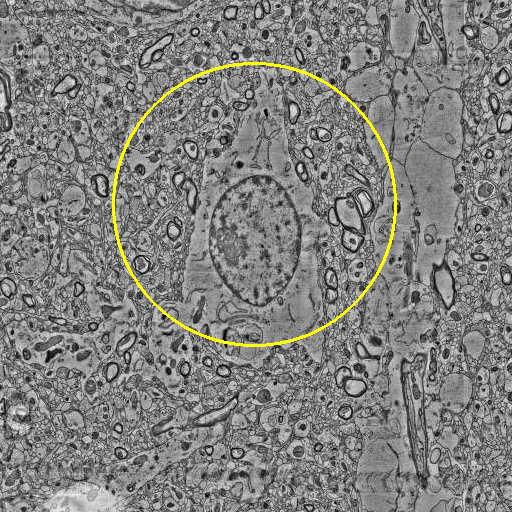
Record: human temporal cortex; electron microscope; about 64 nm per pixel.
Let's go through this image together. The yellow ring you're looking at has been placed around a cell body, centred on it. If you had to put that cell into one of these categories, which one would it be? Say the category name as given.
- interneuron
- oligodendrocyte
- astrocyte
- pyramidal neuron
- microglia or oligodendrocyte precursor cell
astrocyte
